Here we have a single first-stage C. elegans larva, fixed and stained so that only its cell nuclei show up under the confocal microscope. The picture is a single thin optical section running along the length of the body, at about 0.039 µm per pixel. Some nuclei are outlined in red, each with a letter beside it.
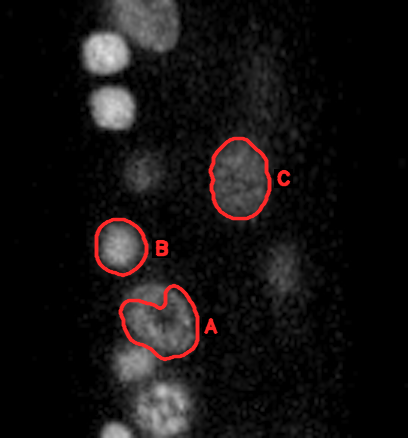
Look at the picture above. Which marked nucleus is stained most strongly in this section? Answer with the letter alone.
B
